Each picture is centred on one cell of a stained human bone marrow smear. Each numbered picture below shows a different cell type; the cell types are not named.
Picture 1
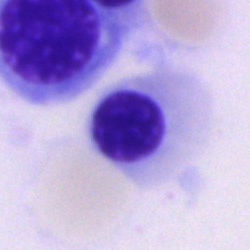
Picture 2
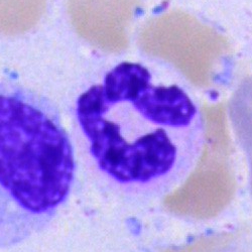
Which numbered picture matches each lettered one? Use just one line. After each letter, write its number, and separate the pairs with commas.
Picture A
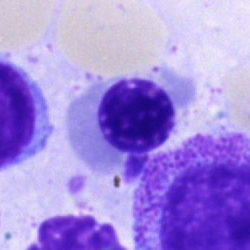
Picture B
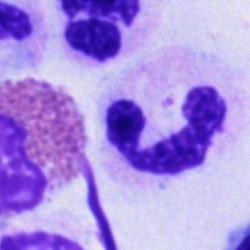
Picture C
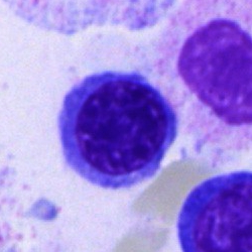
A 1, B 2, C 1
